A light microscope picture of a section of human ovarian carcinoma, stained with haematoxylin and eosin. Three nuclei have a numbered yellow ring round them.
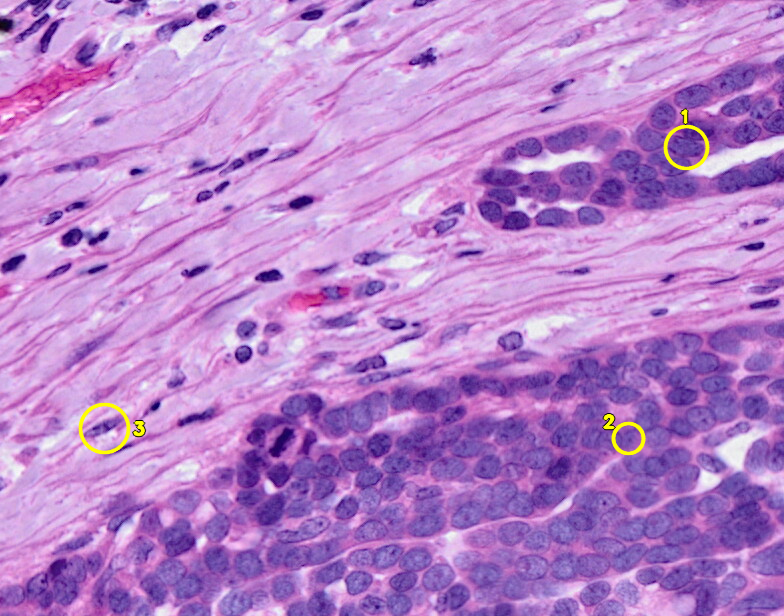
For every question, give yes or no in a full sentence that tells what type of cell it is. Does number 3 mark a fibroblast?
Yes, what number 3 marks is a fibroblast.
